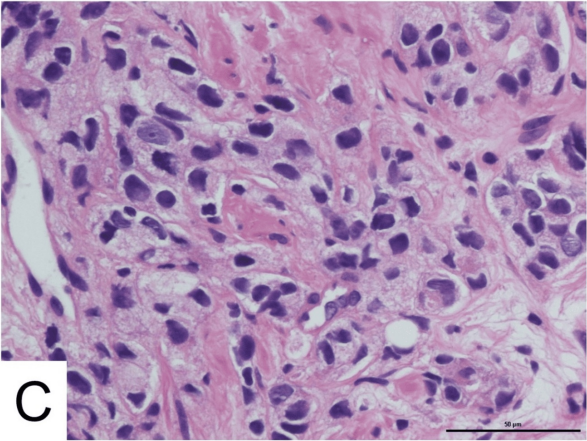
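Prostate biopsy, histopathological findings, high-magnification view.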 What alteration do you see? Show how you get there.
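Single-cell infiltrates. Individual tumour cells with dark, irregular nuclei lie separately in pink stroma. Some cells line up in short cords between collagen fibres. No gland lumina are formed.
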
